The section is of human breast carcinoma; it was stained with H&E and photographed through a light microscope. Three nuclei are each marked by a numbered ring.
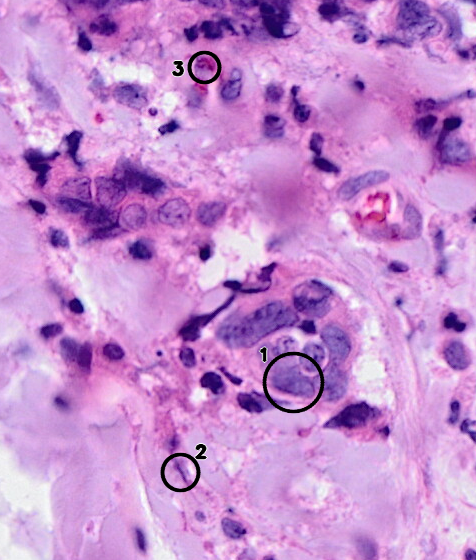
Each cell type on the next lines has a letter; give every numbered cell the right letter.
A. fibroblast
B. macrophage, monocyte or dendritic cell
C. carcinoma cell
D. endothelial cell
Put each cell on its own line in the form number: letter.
1: C
2: A
3: D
